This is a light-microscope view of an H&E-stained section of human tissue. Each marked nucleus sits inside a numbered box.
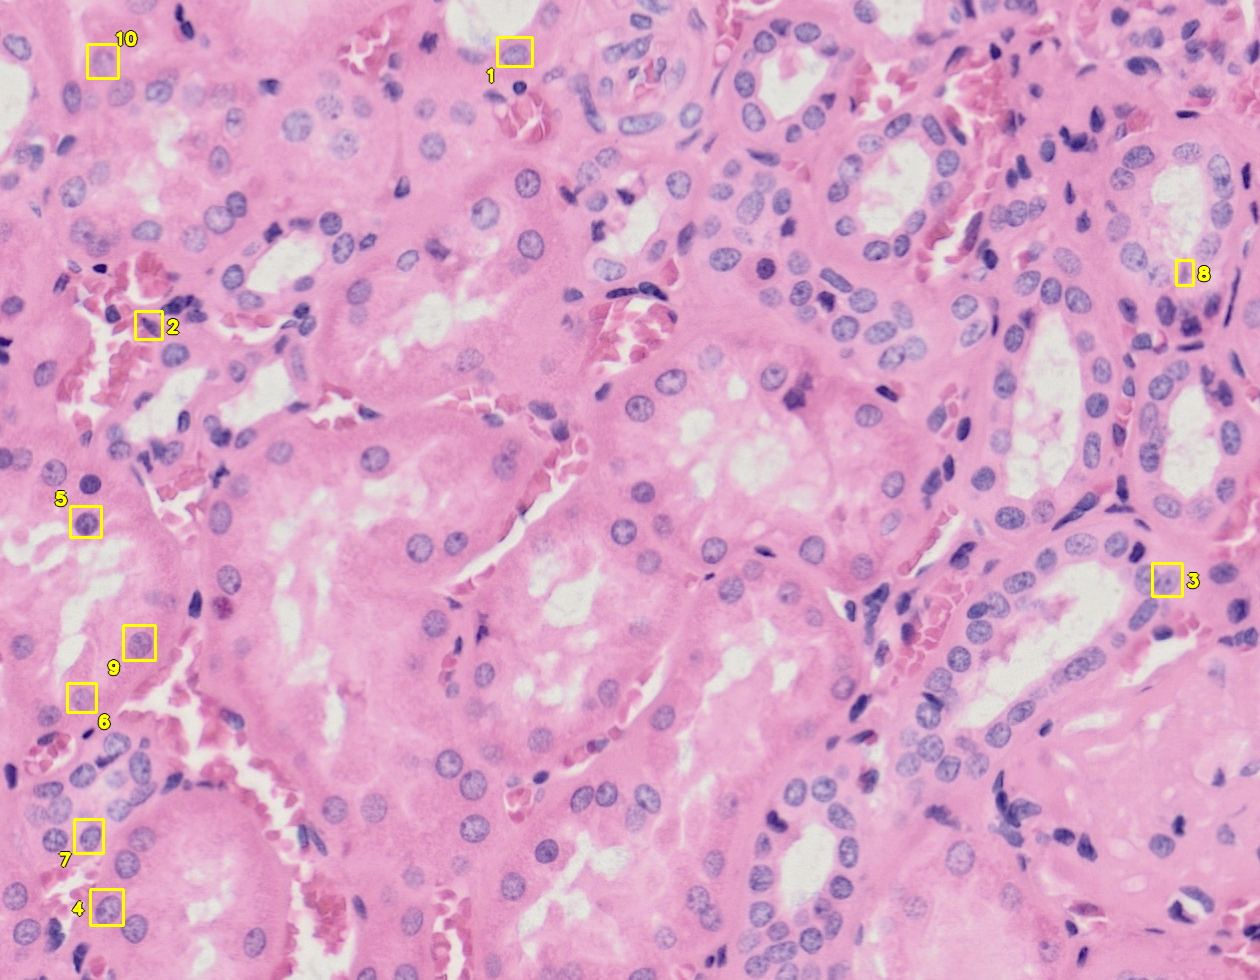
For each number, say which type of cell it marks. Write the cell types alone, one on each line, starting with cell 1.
loop of Henle or distal tubule cell
endothelial cell
collecting duct cell
proximal tubule cell
proximal tubule cell
proximal tubule cell
collecting duct cell
collecting duct cell
proximal tubule cell
proximal tubule cell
